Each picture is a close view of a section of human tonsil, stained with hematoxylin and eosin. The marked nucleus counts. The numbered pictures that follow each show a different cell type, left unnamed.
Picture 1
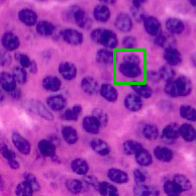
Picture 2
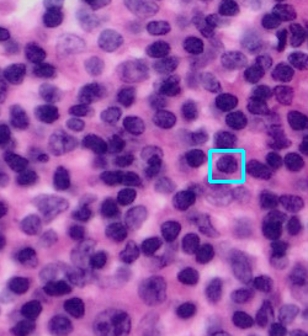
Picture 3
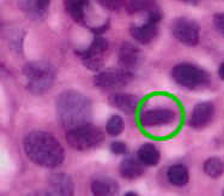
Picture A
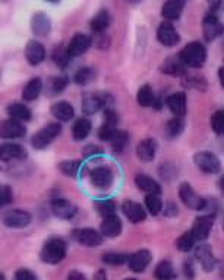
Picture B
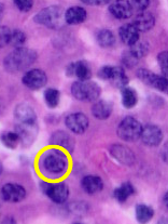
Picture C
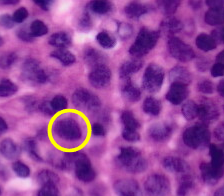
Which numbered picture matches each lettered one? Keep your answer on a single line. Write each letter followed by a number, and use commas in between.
A 2, B 1, C 3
